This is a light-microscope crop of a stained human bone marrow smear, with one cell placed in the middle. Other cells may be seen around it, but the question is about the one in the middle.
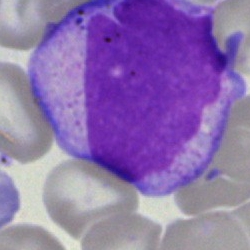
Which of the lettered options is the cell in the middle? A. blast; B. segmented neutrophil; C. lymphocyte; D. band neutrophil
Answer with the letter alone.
A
